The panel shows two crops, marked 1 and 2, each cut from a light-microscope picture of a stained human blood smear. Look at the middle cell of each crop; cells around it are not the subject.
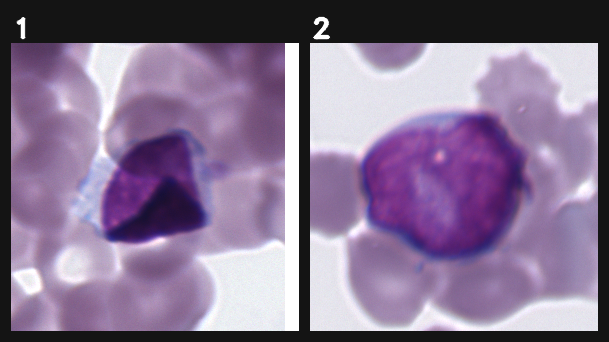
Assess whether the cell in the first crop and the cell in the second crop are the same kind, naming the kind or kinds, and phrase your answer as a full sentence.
No, crop 1 shows a typical lymphocyte, and crop 2, by contrast, shows a myeloblast.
